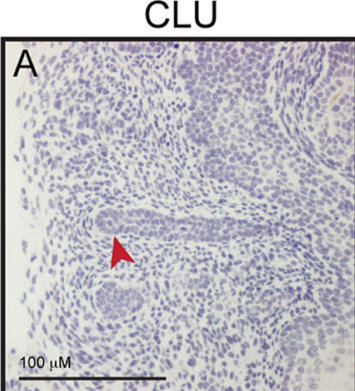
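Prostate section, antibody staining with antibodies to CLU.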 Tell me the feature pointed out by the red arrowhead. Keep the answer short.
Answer: buds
